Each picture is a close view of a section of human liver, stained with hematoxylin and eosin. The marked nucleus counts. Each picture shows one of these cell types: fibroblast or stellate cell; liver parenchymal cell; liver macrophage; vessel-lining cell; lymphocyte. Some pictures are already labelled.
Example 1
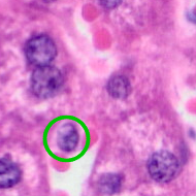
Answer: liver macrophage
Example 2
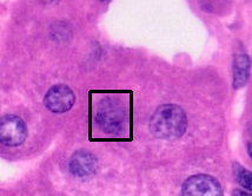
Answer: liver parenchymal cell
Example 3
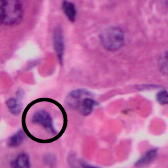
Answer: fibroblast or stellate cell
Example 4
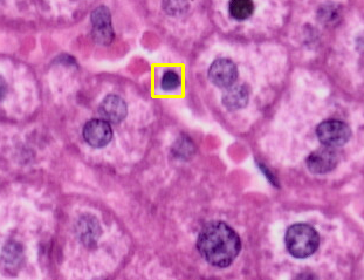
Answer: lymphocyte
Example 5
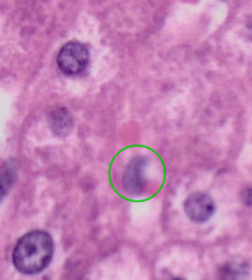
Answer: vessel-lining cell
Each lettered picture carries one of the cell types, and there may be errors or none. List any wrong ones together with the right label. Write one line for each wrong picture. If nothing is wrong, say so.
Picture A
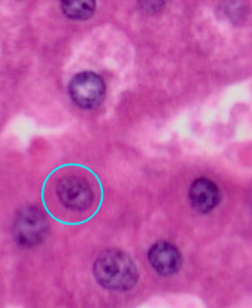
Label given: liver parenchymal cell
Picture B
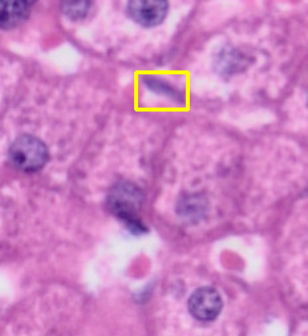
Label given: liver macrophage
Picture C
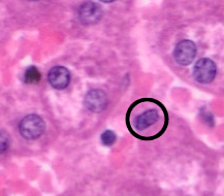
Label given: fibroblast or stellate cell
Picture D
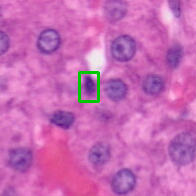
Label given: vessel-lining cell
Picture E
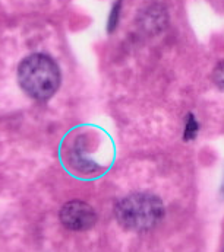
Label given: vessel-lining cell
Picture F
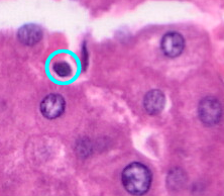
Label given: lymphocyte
D is labelled vessel-lining cell; correct label: fibroblast or stellate cell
